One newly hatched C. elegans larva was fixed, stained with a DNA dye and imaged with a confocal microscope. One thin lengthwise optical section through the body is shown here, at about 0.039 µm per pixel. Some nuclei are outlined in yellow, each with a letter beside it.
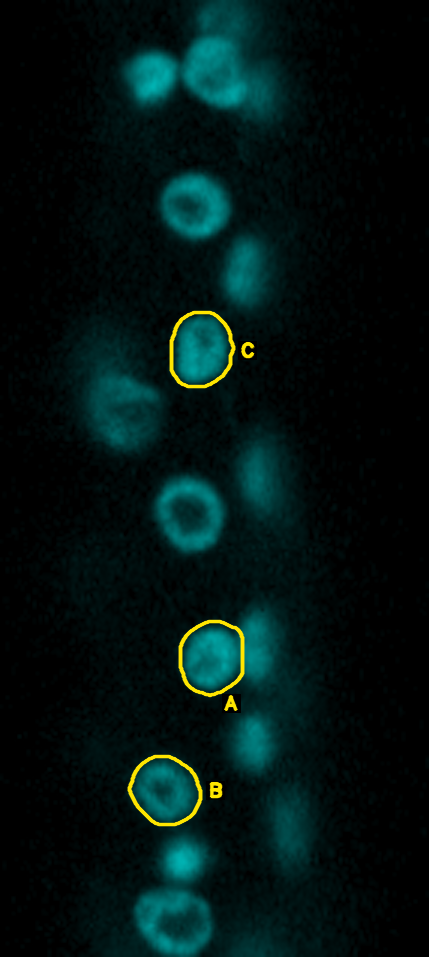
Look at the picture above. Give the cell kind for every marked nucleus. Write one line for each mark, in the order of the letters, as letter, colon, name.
A: P cell (ventral epidermal blast cell)
B: seam cell
C: P cell (ventral epidermal blast cell)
